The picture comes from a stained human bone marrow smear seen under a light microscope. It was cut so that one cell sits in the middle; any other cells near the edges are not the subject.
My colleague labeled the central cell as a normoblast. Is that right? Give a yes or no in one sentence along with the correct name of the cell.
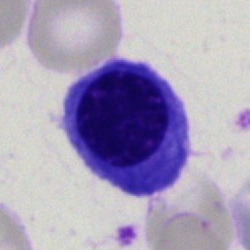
Yes, the one cell at the centre is a normoblast.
